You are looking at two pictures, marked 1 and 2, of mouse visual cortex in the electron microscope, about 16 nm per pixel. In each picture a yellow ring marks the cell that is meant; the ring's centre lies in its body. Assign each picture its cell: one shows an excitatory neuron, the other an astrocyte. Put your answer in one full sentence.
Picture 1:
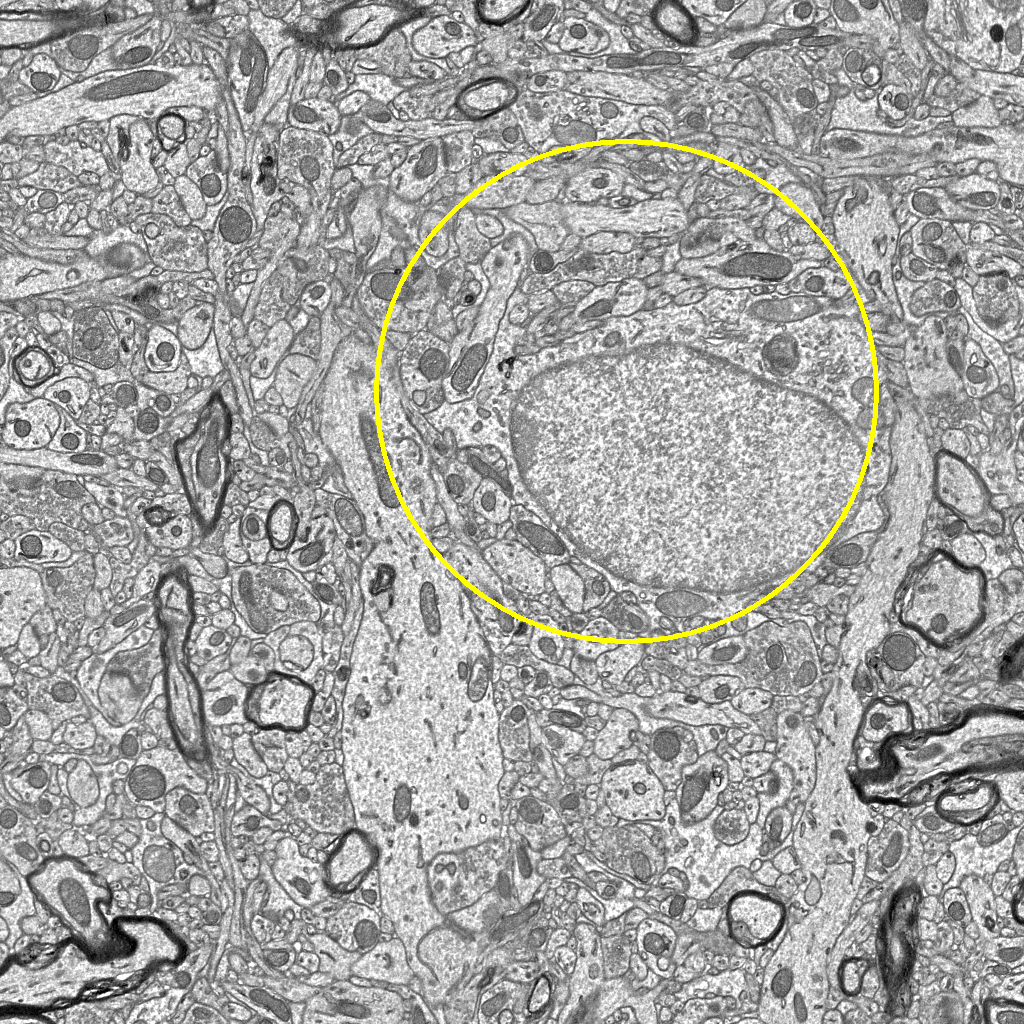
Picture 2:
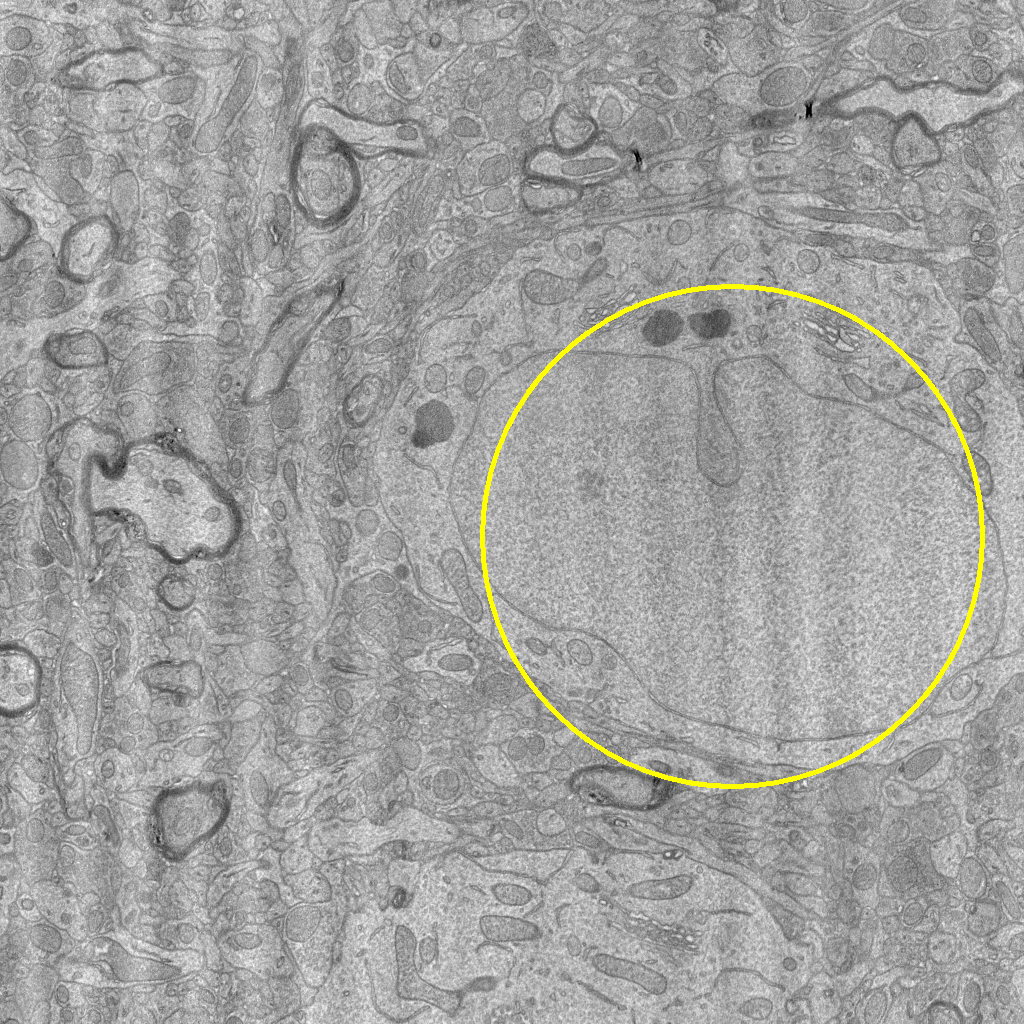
It is picture 1 that shows an astrocyte, and picture 2 that shows an excitatory neuron.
